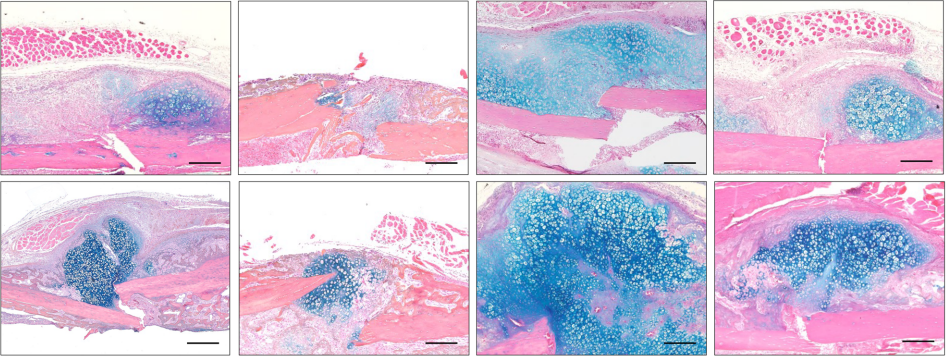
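The cartilage forms islands of large, rounded chondrocytes in pale lacunae. These islands range from small patches in some images to broad blue fields in others. Pink cortical bone fragments lie along the bottom, with lightly stained fibrous tissue above them and pink skeletal muscle fibers near the top of several images.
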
